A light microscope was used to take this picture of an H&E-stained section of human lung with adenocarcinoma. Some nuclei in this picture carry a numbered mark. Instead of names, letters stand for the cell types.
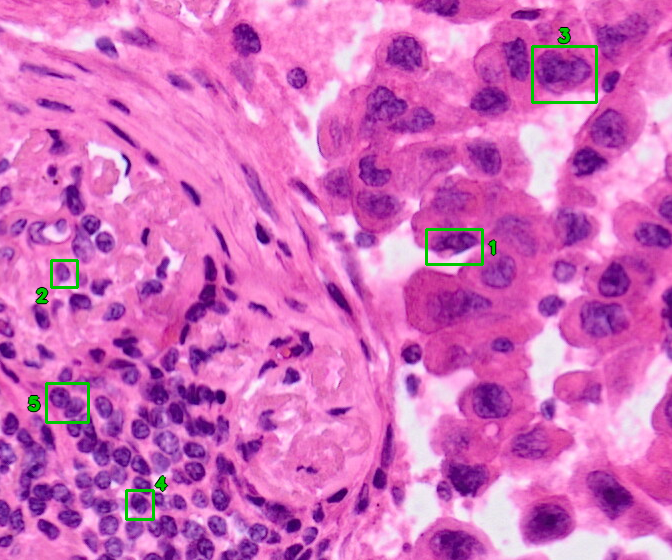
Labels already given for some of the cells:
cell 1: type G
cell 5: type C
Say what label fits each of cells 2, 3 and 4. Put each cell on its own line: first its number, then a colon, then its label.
2: type C
3: type G
4: type C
